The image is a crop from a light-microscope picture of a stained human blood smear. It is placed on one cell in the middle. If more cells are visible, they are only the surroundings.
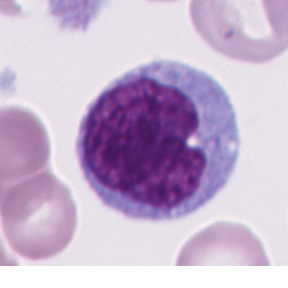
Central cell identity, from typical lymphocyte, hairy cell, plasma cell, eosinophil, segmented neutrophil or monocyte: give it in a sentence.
The cell shown in the center of this light-microscope crop is a monocyte.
